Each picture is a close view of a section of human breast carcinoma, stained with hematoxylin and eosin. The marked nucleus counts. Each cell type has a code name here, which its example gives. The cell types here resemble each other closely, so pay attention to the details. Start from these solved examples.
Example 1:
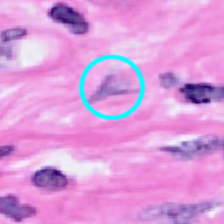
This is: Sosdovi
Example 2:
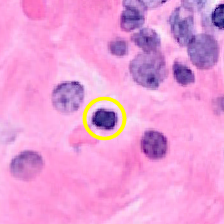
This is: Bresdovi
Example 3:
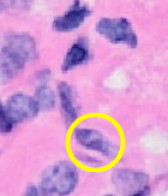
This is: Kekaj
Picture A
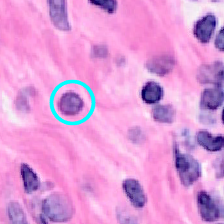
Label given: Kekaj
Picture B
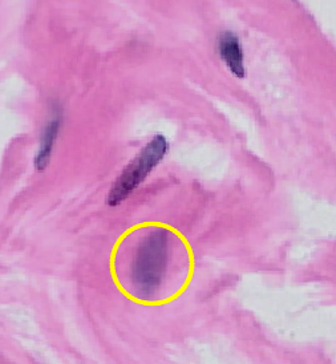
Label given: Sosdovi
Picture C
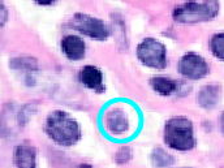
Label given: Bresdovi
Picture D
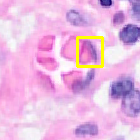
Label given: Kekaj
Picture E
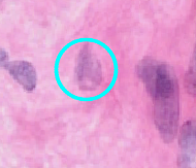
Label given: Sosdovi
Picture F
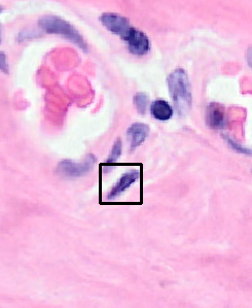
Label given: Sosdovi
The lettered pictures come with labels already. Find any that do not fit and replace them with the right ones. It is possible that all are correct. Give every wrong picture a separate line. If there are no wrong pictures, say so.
A: not Kekaj but Bresdovi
